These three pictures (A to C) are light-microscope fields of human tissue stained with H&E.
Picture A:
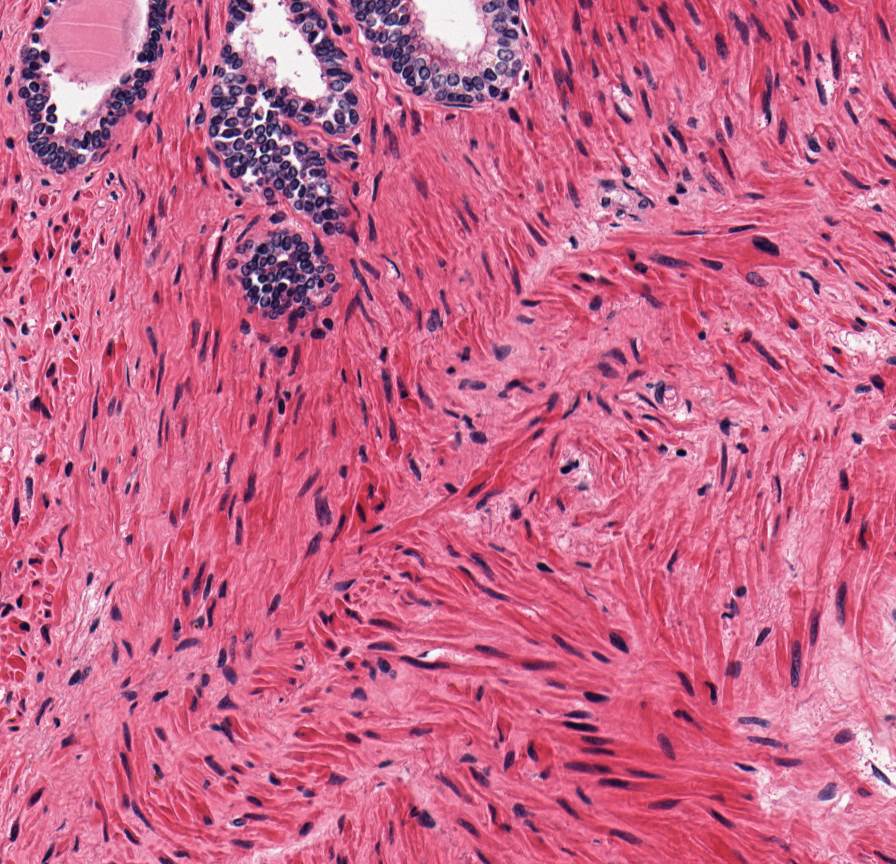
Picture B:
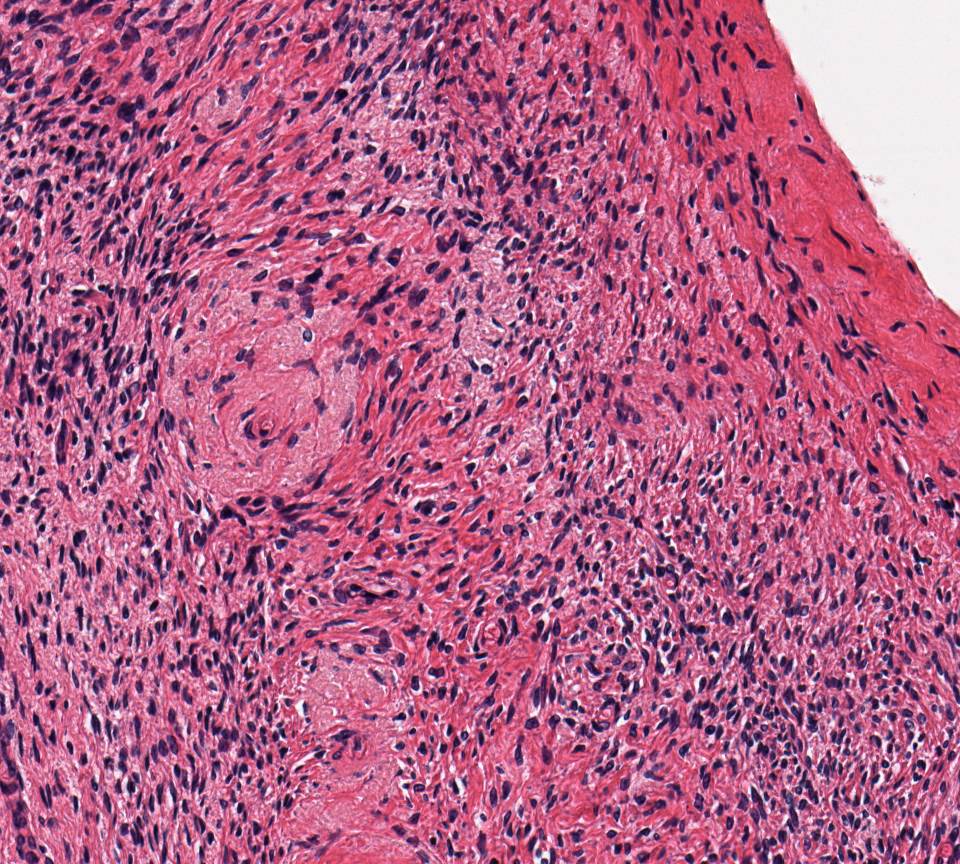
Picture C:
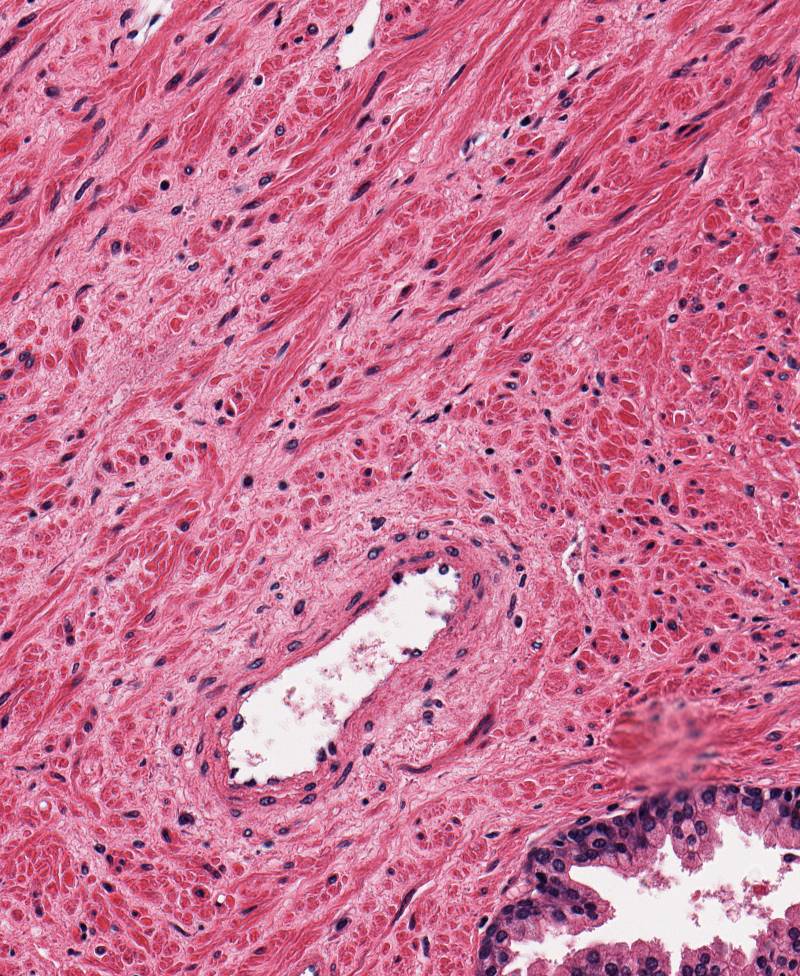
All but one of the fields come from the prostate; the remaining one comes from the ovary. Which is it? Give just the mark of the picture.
B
